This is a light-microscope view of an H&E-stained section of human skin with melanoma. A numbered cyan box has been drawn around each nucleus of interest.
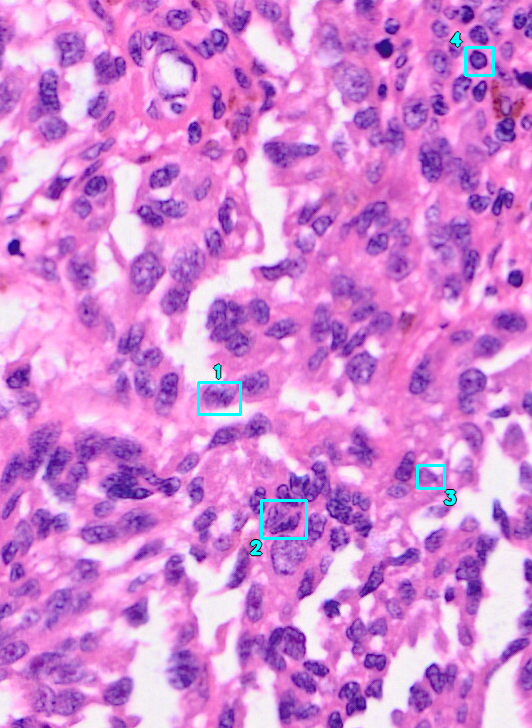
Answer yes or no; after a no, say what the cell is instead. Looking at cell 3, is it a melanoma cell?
Yes.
